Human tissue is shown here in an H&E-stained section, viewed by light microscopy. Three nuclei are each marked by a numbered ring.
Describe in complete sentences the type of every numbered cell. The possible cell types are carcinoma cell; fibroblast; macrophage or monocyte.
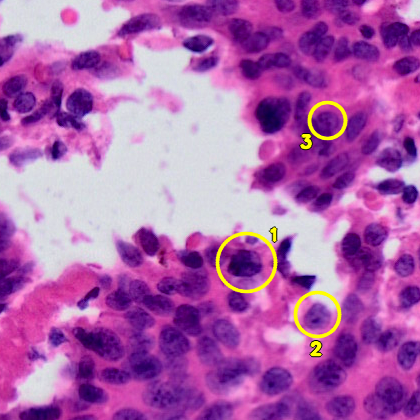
Cell 1 is a carcinoma cell, cell 2 is a macrophage or monocyte and cell 3 is a carcinoma cell.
